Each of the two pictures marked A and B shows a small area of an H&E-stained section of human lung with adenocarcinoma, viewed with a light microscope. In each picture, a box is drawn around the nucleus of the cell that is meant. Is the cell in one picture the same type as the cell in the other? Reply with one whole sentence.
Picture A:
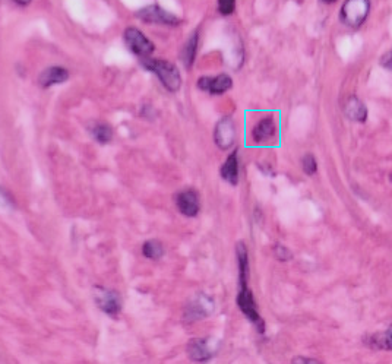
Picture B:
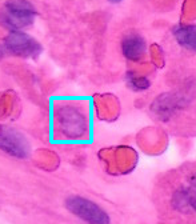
No, the types are not the same, since picture A shows a mast cell and picture B a “macrophage or monocyte”.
